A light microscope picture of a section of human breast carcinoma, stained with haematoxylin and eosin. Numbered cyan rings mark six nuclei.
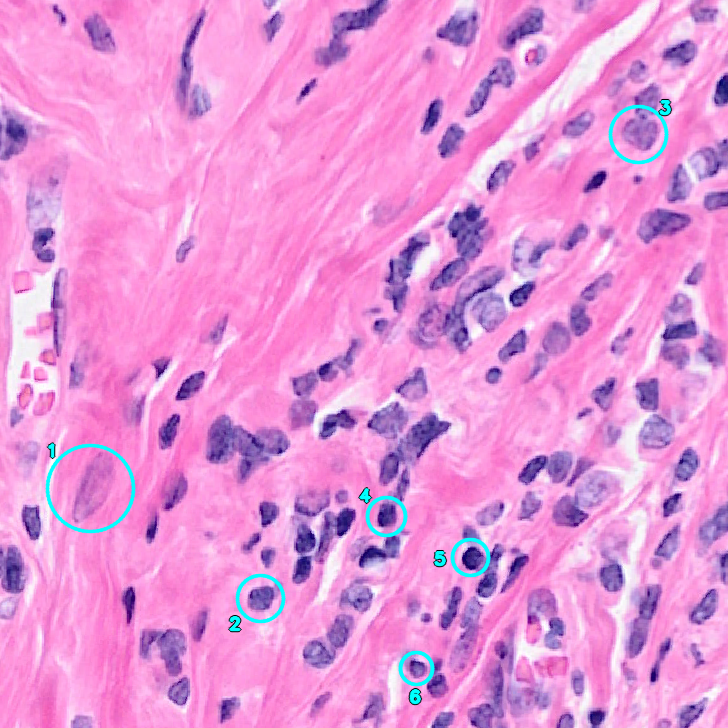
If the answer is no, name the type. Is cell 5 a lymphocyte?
Yes.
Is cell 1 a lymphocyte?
No, it is a fibroblast.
